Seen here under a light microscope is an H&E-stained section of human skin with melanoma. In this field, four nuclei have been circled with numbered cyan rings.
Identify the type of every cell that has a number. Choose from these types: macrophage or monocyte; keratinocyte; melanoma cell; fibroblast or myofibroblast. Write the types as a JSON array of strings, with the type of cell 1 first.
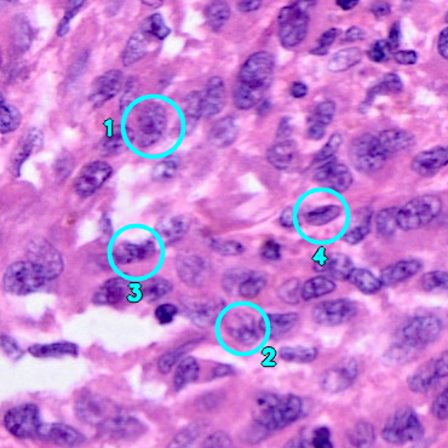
["melanoma cell", "melanoma cell", "melanoma cell", "macrophage or monocyte"]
